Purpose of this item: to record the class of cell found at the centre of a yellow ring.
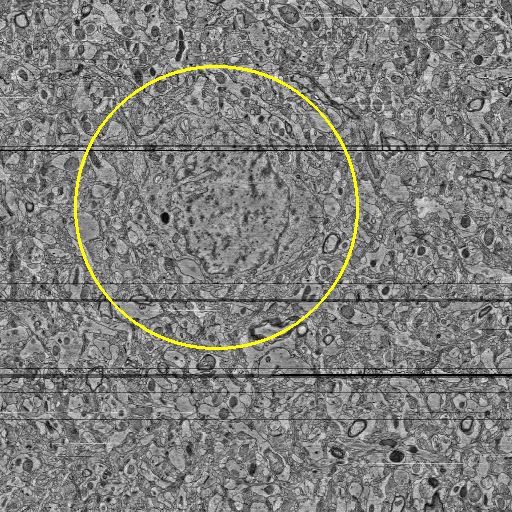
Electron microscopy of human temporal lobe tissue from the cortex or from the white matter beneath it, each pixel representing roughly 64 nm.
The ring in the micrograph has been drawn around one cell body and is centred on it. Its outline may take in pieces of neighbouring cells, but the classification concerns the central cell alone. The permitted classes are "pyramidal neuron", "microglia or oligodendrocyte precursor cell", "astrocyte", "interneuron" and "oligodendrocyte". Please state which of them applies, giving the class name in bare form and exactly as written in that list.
interneuron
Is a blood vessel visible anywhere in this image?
No, there is no blood vessel in the image.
